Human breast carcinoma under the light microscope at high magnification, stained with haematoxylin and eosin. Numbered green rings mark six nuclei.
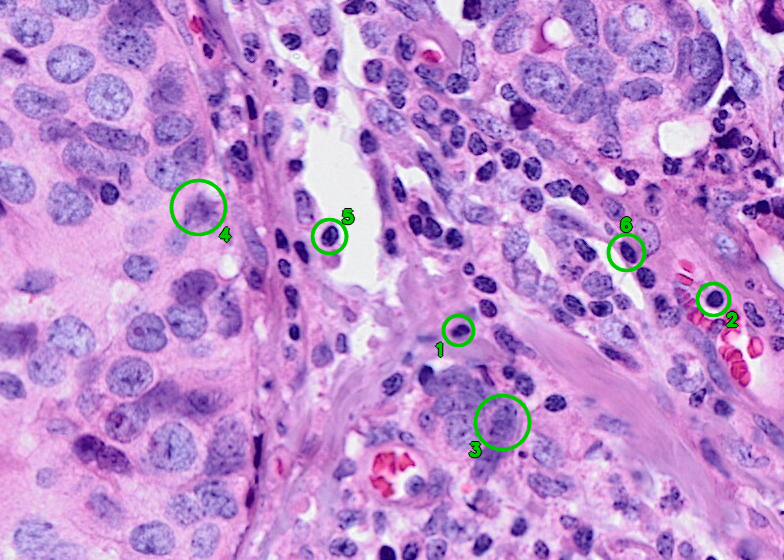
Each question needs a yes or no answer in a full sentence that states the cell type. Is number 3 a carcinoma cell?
Yes, the cell whose nucleus carries number 3 is a carcinoma cell.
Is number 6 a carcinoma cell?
No, a lymphocyte, not a carcinoma cell, is the cell with number 6.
